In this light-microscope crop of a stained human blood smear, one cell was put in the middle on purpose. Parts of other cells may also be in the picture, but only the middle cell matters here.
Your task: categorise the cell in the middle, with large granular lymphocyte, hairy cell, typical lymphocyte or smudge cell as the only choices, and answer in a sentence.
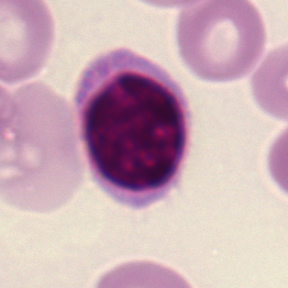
The cell centred in this crop is categorized as a large granular lymphocyte.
